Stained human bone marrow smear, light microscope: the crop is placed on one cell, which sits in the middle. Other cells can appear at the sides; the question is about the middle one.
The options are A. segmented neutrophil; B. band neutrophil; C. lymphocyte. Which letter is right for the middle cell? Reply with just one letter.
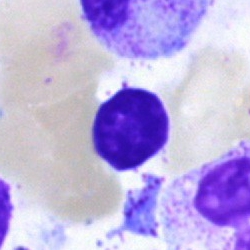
C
